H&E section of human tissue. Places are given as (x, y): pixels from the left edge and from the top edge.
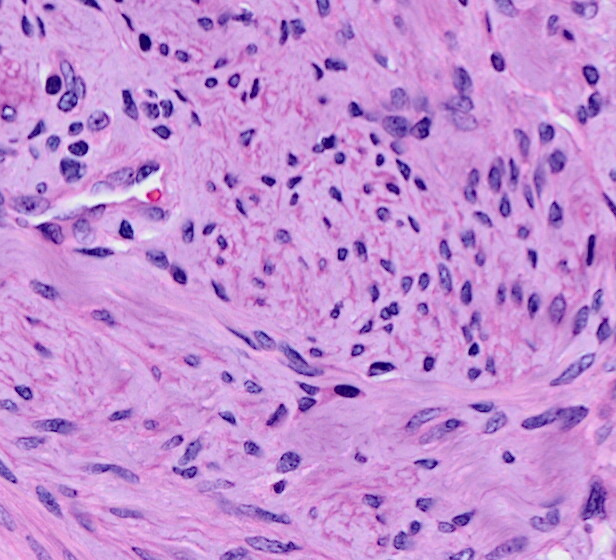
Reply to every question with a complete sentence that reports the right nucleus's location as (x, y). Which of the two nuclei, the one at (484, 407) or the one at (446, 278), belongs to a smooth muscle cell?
Identified as belonging to a smooth muscle cell is the nucleus at (446, 278).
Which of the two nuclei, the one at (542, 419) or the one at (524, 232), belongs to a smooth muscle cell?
The nucleus whose position is (524, 232) belongs to a smooth muscle cell.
